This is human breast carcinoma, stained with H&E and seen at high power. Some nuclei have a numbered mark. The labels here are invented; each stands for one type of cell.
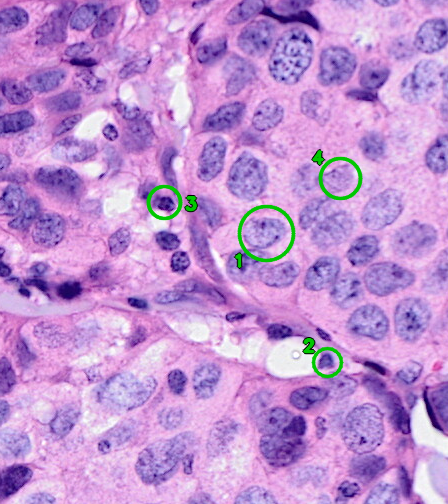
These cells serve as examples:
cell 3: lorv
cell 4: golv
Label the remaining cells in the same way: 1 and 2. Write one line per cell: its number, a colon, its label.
1: golv
2: lorv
